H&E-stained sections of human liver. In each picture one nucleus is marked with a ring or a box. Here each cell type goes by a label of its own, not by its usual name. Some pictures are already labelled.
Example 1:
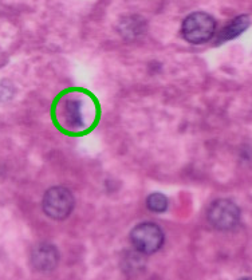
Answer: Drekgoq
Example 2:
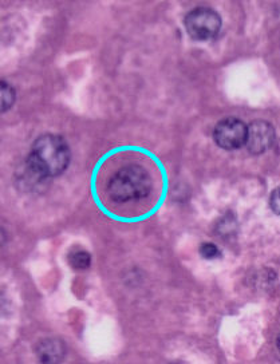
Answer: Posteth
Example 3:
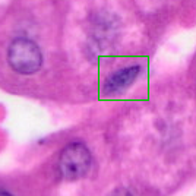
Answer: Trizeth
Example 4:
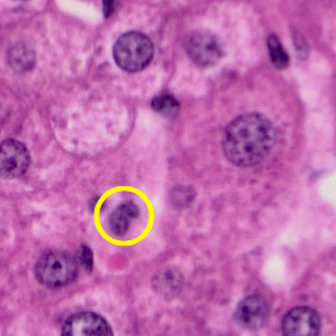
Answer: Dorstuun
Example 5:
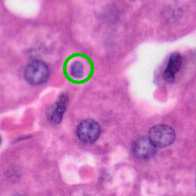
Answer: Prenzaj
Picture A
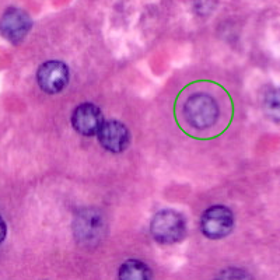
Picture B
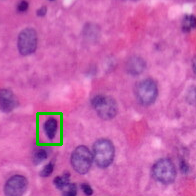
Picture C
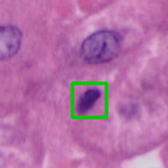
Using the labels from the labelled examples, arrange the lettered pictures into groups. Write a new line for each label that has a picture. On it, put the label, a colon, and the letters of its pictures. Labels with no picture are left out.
Posteth: A
Trizeth: C
Prenzaj: B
